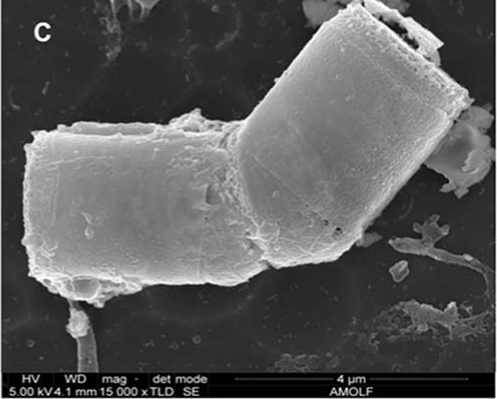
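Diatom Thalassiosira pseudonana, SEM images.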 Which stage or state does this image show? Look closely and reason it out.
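Cell division. Two cylindrical units of similar size are joined end to end. The two halves meet at an angle at their junction.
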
